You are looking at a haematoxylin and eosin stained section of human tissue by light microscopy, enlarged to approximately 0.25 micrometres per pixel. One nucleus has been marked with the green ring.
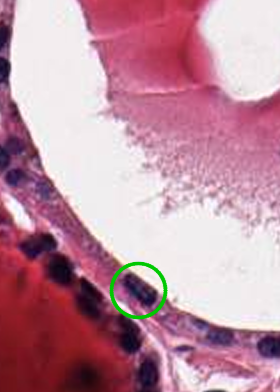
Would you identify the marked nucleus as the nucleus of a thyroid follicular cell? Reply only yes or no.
yes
